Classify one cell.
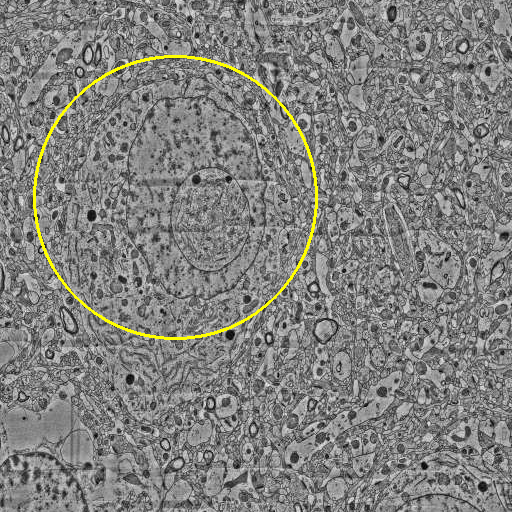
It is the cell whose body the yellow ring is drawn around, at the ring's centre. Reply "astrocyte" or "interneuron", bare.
interneuron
